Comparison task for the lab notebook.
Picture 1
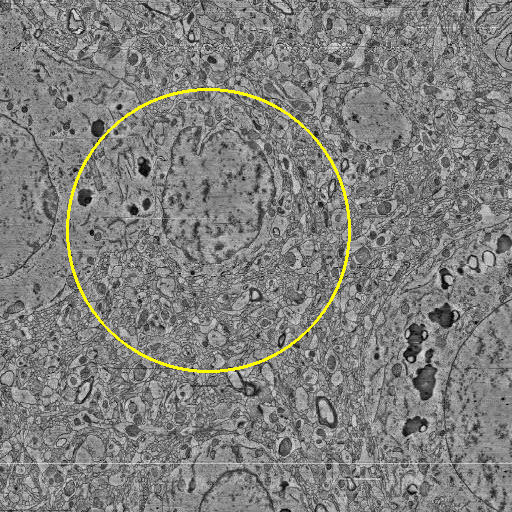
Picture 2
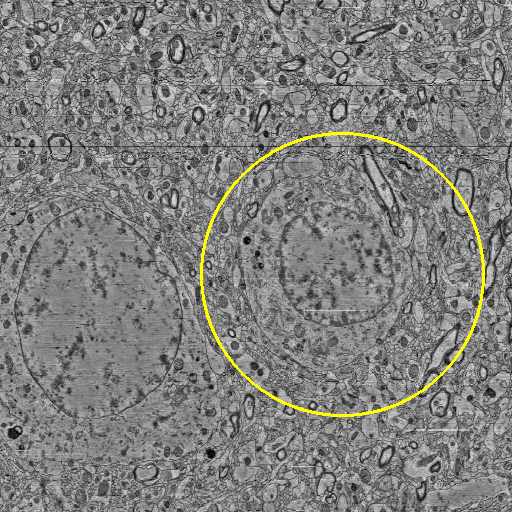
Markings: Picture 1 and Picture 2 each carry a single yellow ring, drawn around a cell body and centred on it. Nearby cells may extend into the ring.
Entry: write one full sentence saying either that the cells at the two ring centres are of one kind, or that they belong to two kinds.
The cells sitting at the ring centres in Picture 1 and Picture 2 are of one kind.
